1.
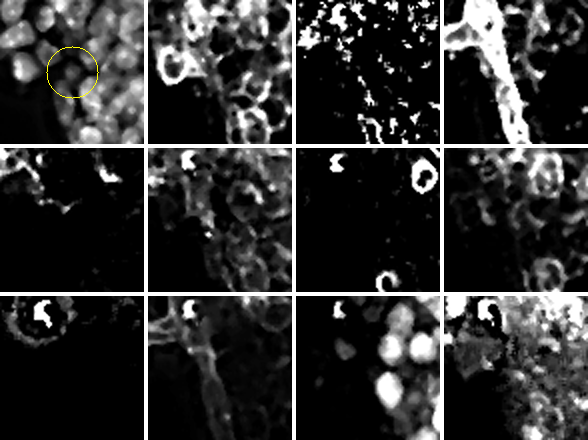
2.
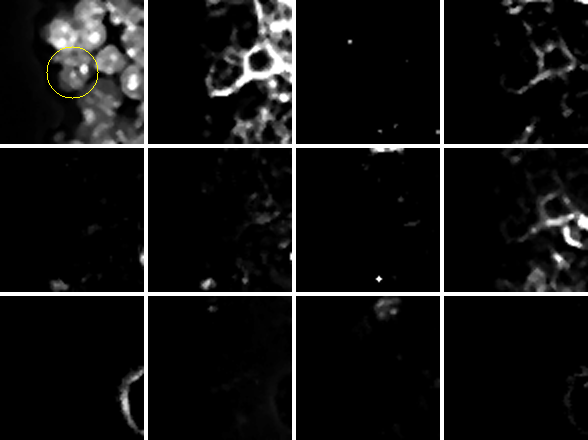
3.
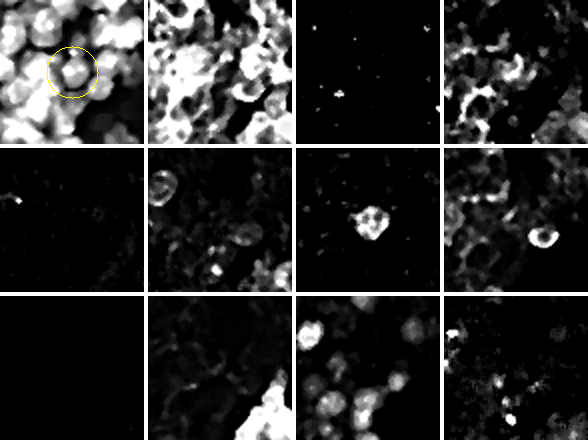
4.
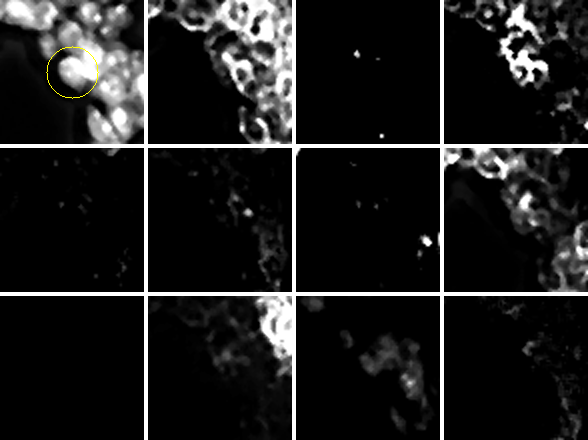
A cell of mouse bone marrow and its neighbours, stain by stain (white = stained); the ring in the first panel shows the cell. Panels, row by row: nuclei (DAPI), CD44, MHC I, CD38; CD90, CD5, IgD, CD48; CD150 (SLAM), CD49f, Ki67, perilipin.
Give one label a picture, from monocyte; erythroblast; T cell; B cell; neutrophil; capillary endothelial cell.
1. capillary endothelial cell
2. neutrophil
3. B cell
4. capillary endothelial cell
